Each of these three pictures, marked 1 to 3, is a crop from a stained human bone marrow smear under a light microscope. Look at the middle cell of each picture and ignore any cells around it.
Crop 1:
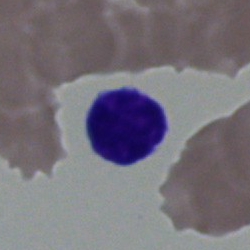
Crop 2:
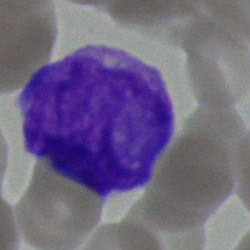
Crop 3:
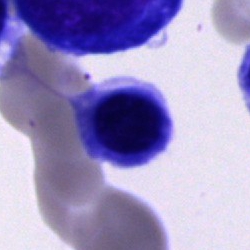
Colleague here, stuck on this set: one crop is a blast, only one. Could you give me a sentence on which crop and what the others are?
Crop 2 contains a blast; meanwhile, crop 1 is a lymphocyte and crop 3 is an erythroblast.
